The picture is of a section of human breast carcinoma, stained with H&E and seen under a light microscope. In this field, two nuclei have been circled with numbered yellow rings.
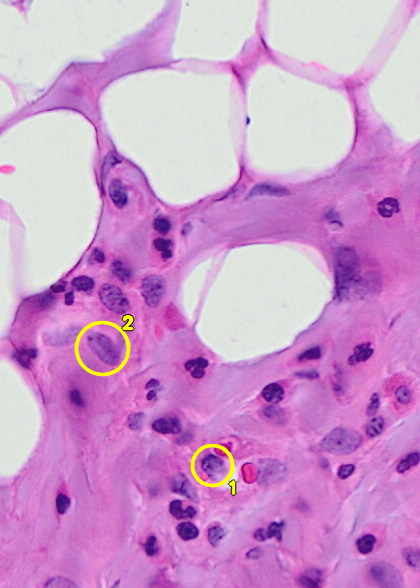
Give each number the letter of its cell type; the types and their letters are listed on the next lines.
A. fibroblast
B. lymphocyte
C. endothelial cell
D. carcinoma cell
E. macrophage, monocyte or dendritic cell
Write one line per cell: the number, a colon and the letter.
1: C
2: A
